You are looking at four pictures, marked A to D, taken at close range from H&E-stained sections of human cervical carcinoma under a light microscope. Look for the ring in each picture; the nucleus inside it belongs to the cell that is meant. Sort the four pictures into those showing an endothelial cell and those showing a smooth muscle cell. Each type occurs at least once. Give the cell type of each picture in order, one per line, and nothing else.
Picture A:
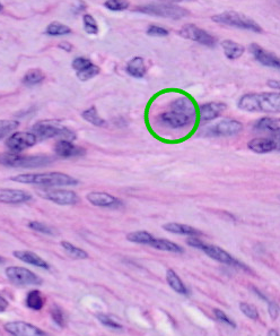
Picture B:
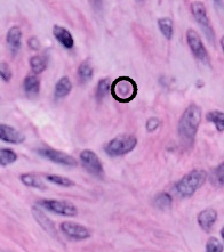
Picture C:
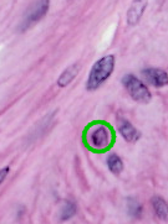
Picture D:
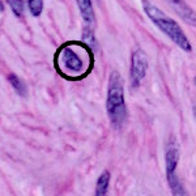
endothelial cell
smooth muscle cell
smooth muscle cell
smooth muscle cell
